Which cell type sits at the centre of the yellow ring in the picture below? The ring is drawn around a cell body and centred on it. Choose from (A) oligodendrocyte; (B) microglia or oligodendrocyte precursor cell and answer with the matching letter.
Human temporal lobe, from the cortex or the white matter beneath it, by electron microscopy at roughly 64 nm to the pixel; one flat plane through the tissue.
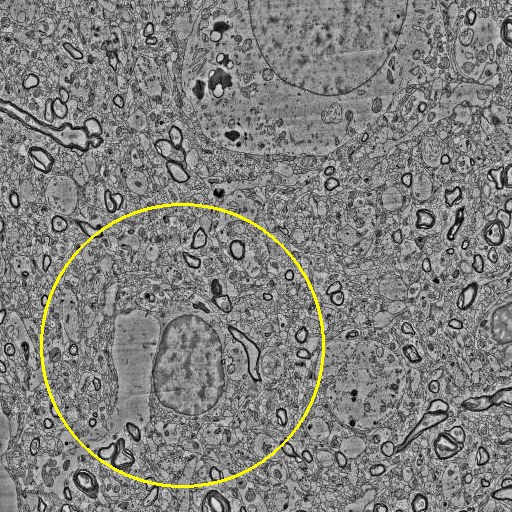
A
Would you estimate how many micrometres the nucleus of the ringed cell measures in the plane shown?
In this plane the nucleus is about 6 micrometres by 5.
